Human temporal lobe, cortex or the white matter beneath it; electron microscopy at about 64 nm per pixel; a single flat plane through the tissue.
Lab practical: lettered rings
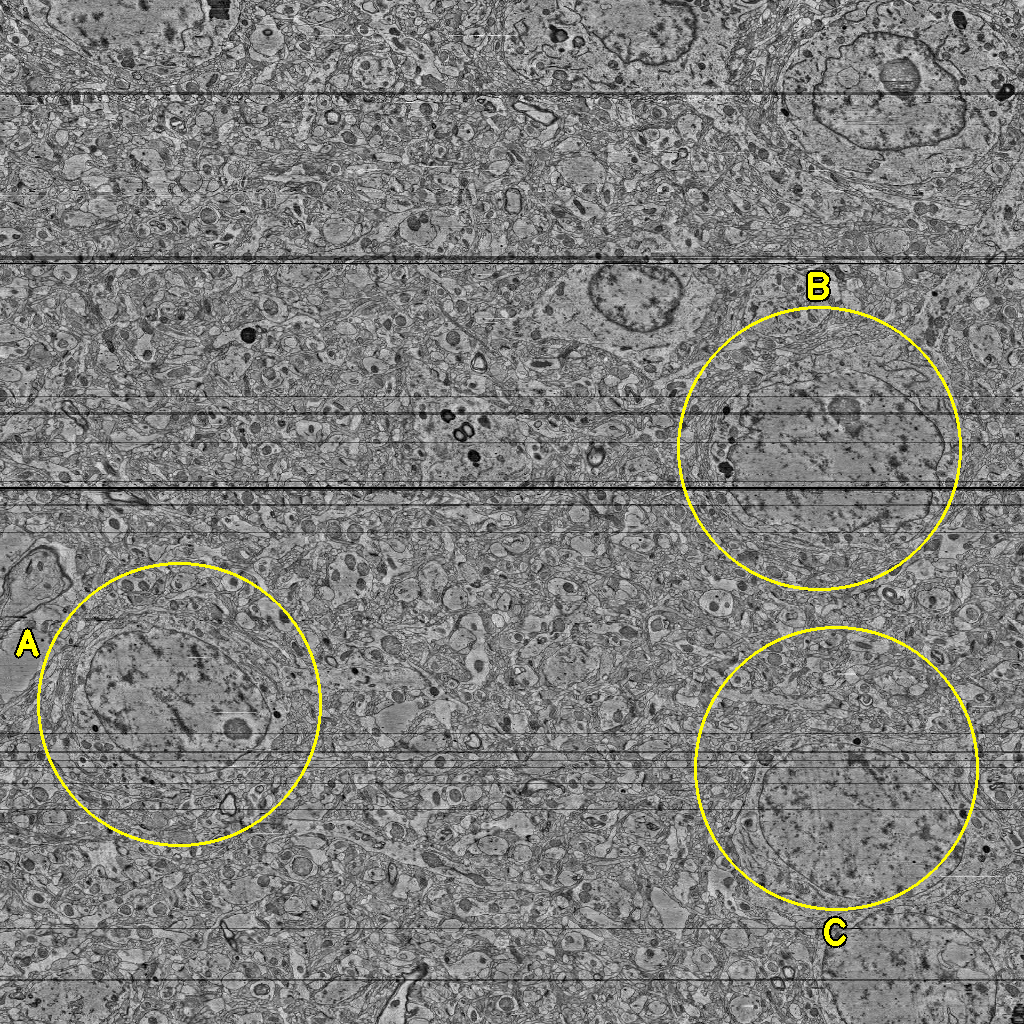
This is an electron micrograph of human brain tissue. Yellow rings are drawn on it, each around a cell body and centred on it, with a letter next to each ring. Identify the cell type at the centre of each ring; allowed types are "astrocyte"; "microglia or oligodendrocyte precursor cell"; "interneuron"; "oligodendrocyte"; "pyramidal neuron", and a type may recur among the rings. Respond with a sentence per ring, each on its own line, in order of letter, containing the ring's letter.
Lying at the centre of ring A is a pyramidal neuron.
Lying at the centre of ring B is a pyramidal neuron.
Lying at the centre of ring C is a pyramidal neuron.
